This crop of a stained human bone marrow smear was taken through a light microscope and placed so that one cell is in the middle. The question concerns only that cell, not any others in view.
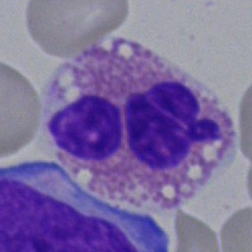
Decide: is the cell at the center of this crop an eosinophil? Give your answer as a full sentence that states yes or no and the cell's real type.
Yes, the centre of the crop holds an eosinophil.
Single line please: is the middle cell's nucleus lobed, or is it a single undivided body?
The nucleus is segmented, with two or more lobes present.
